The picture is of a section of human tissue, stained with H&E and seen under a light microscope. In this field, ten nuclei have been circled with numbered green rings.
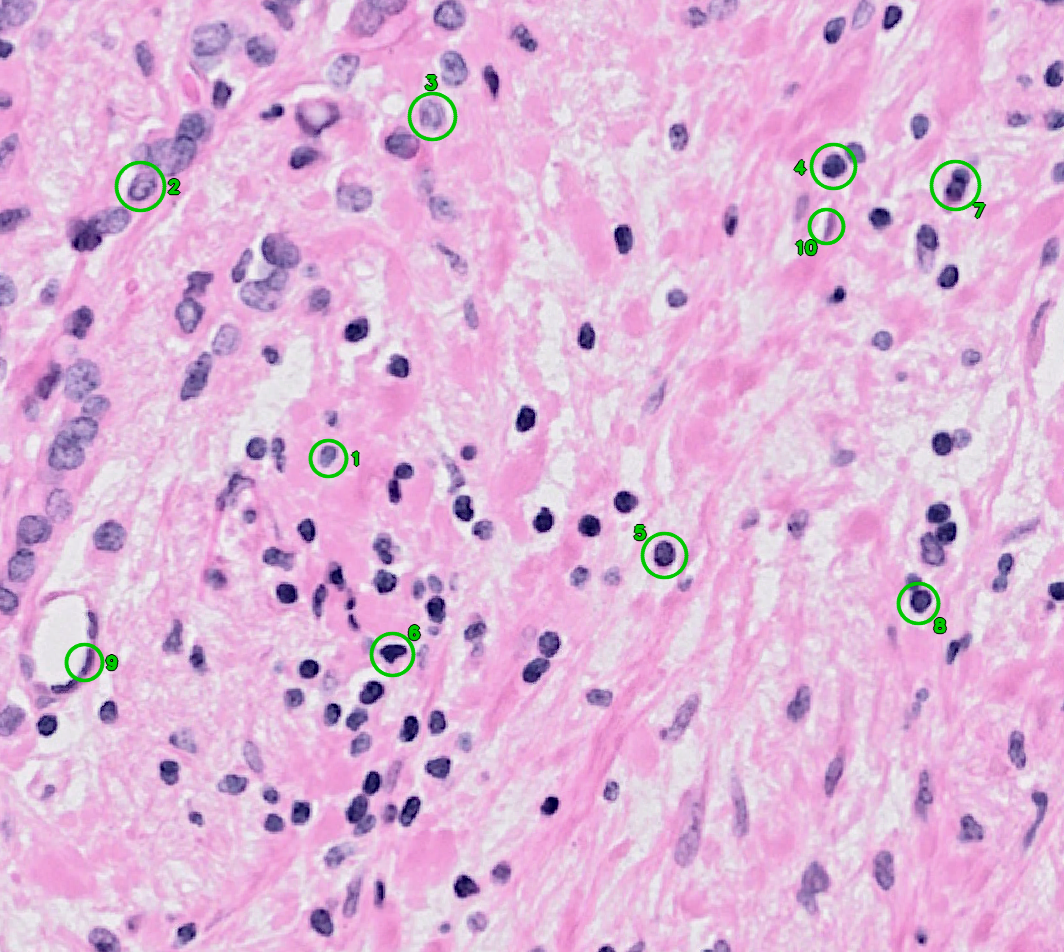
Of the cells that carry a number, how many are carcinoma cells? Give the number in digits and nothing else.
2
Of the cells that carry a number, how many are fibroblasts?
1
